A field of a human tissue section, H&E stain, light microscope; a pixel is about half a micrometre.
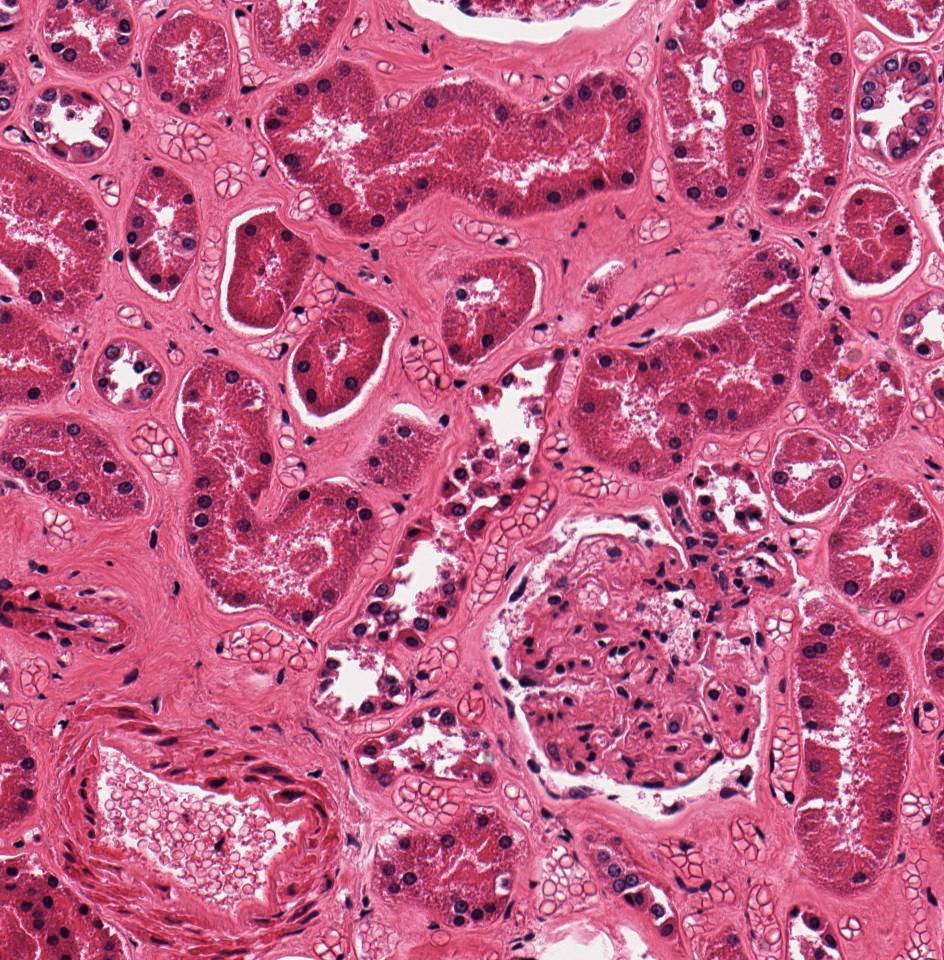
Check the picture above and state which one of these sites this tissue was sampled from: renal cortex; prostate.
renal cortex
